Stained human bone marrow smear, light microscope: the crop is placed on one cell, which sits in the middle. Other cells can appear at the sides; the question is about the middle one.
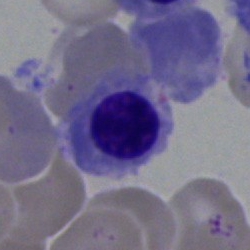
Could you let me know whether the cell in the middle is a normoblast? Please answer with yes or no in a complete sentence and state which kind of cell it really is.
Yes, it is a normoblast that lies in the middle.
